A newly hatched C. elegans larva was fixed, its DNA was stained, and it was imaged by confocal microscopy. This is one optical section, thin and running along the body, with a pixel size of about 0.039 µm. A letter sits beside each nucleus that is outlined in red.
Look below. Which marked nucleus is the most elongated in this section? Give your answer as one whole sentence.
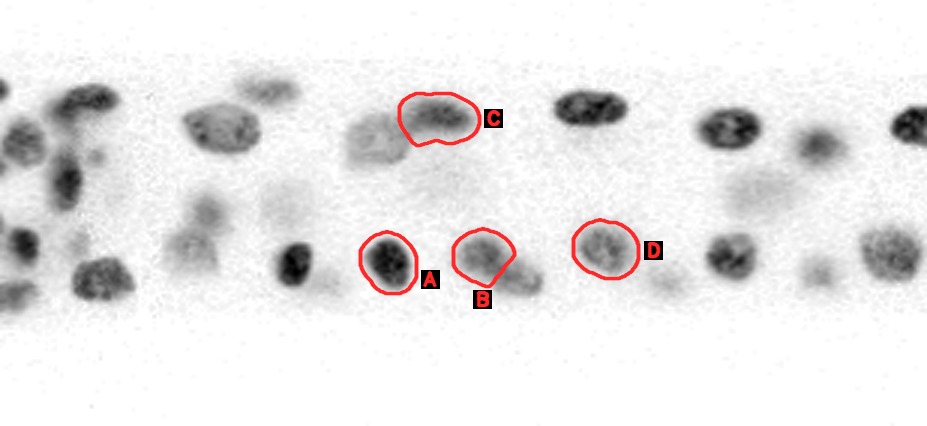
Of the marked nuclei, C is the most stretched out.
